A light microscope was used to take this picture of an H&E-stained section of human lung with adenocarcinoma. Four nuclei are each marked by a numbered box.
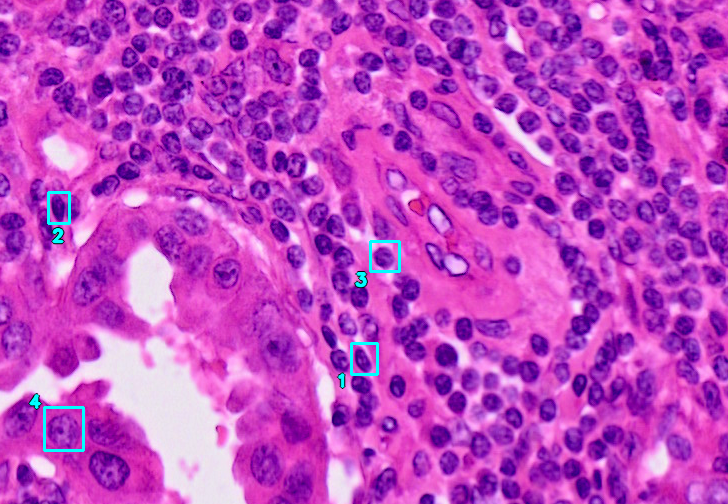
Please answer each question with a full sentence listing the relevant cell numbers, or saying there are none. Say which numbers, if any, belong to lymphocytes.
Cells numbered 1, 2 and 3 belong to the group of lymphocytes.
